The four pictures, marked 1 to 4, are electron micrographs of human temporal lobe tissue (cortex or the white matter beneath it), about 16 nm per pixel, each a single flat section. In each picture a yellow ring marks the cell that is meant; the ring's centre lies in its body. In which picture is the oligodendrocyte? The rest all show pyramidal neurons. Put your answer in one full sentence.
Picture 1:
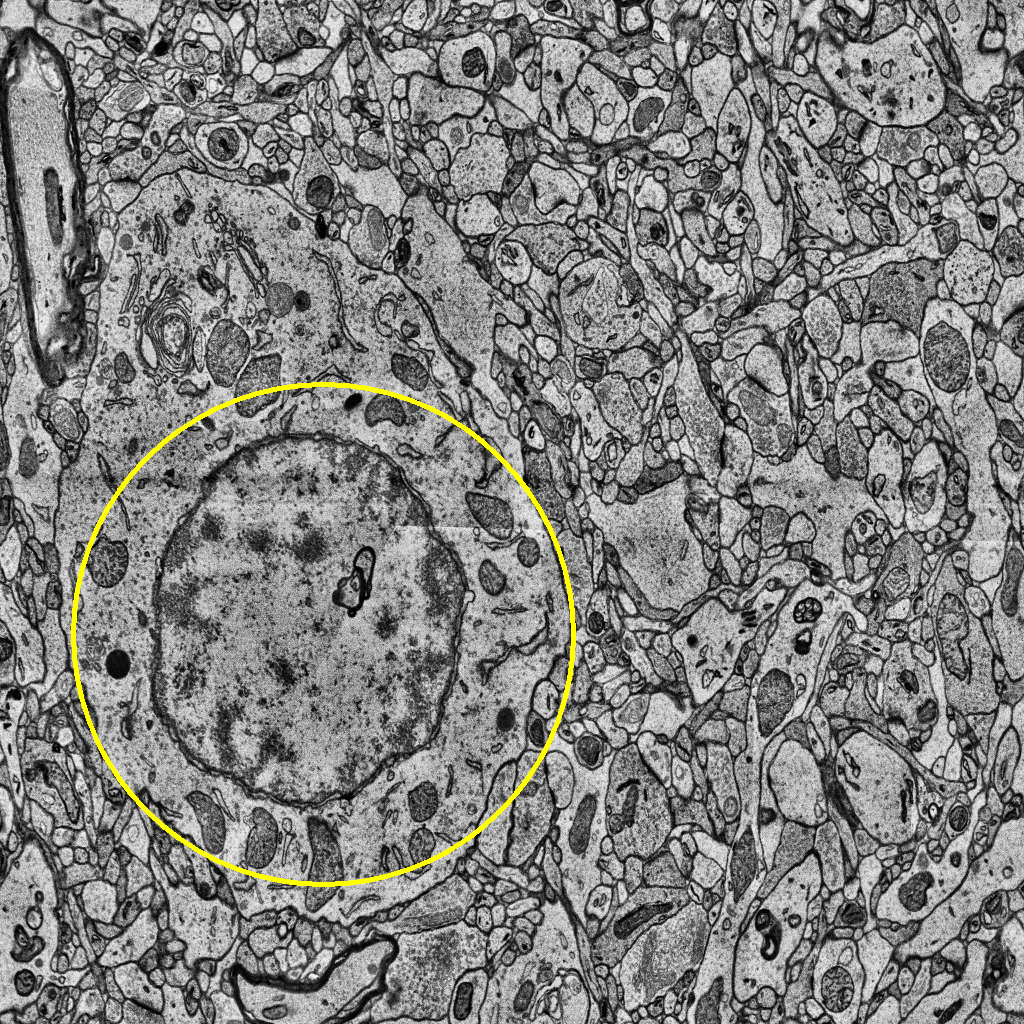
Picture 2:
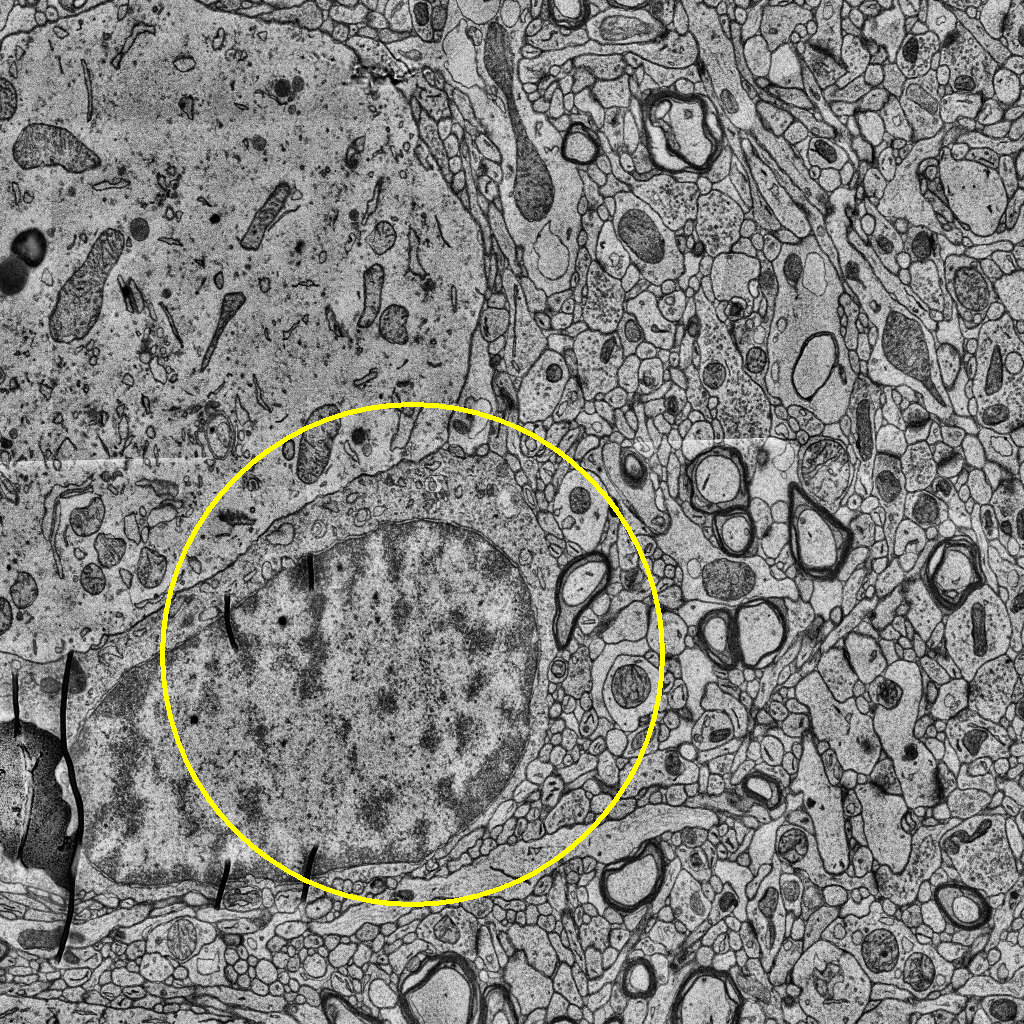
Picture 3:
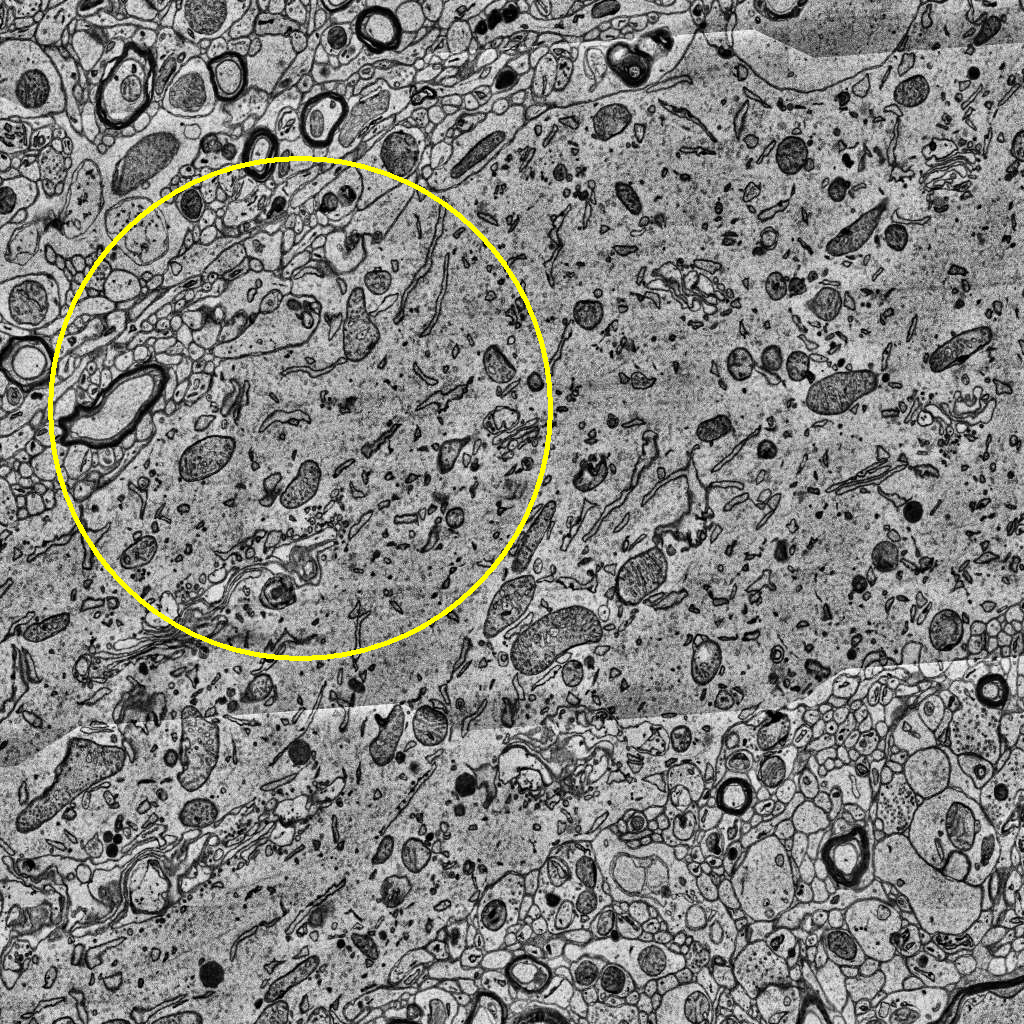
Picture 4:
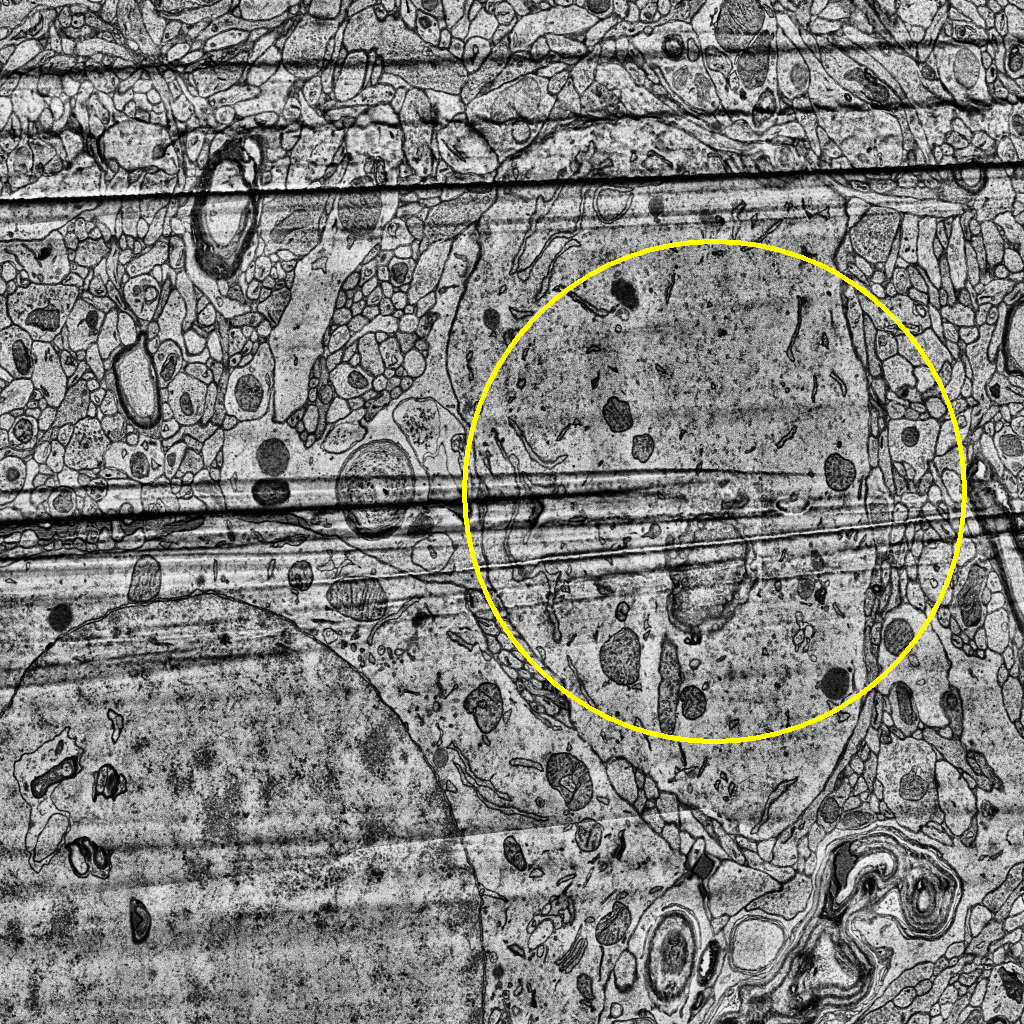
Picture 2 is the one that shows the oligodendrocyte.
